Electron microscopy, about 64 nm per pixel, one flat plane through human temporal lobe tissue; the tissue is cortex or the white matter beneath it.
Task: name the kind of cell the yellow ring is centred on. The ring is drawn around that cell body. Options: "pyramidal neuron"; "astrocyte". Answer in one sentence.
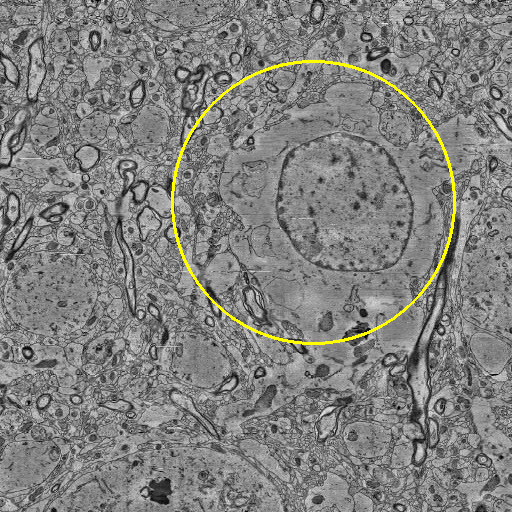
This cell body belongs to an astrocyte.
